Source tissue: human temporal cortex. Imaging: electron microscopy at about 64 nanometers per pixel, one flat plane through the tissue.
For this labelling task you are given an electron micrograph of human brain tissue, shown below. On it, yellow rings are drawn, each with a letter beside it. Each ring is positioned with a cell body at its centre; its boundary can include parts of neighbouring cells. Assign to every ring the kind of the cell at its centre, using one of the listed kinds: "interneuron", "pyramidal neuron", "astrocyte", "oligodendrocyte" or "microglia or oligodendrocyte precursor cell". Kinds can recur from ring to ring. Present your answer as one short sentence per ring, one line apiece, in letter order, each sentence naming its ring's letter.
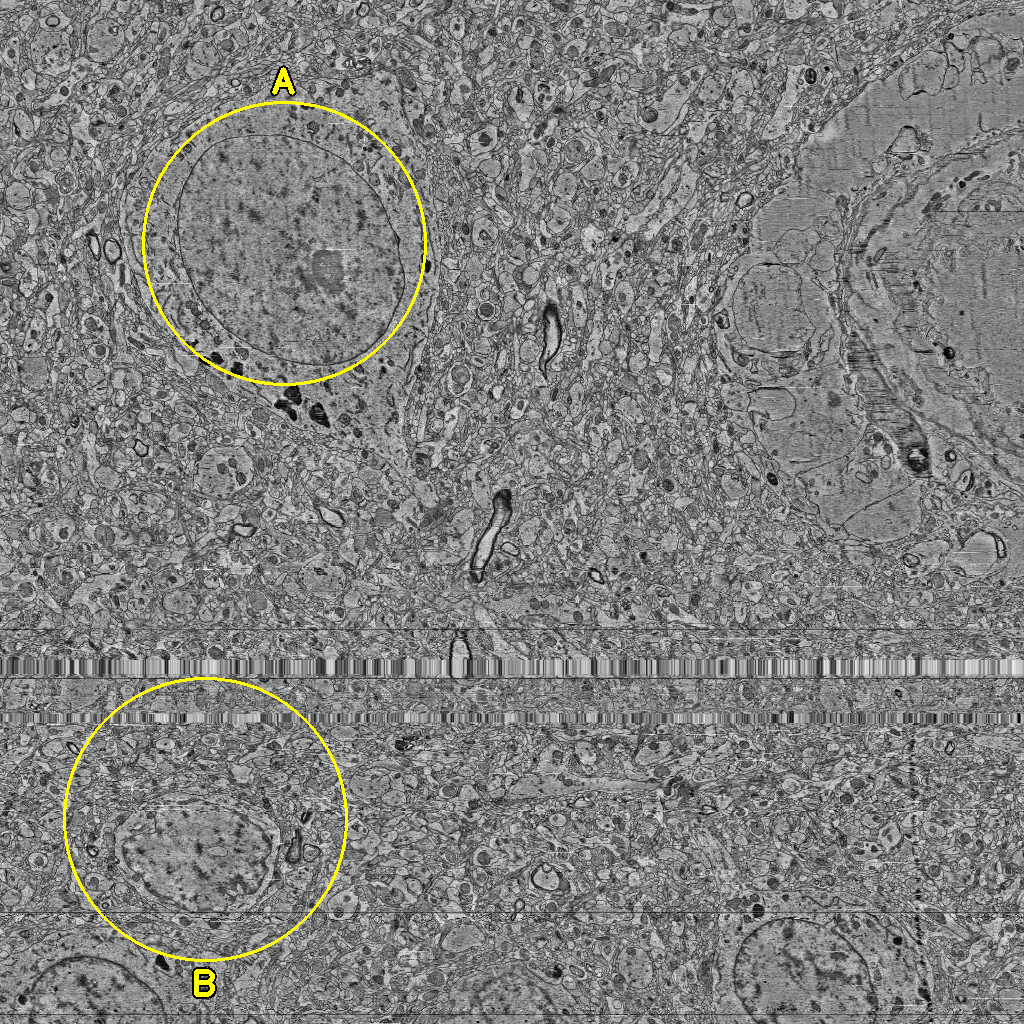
The cell in the middle of ring A is a pyramidal neuron.
The cell in the middle of ring B is an interneuron.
